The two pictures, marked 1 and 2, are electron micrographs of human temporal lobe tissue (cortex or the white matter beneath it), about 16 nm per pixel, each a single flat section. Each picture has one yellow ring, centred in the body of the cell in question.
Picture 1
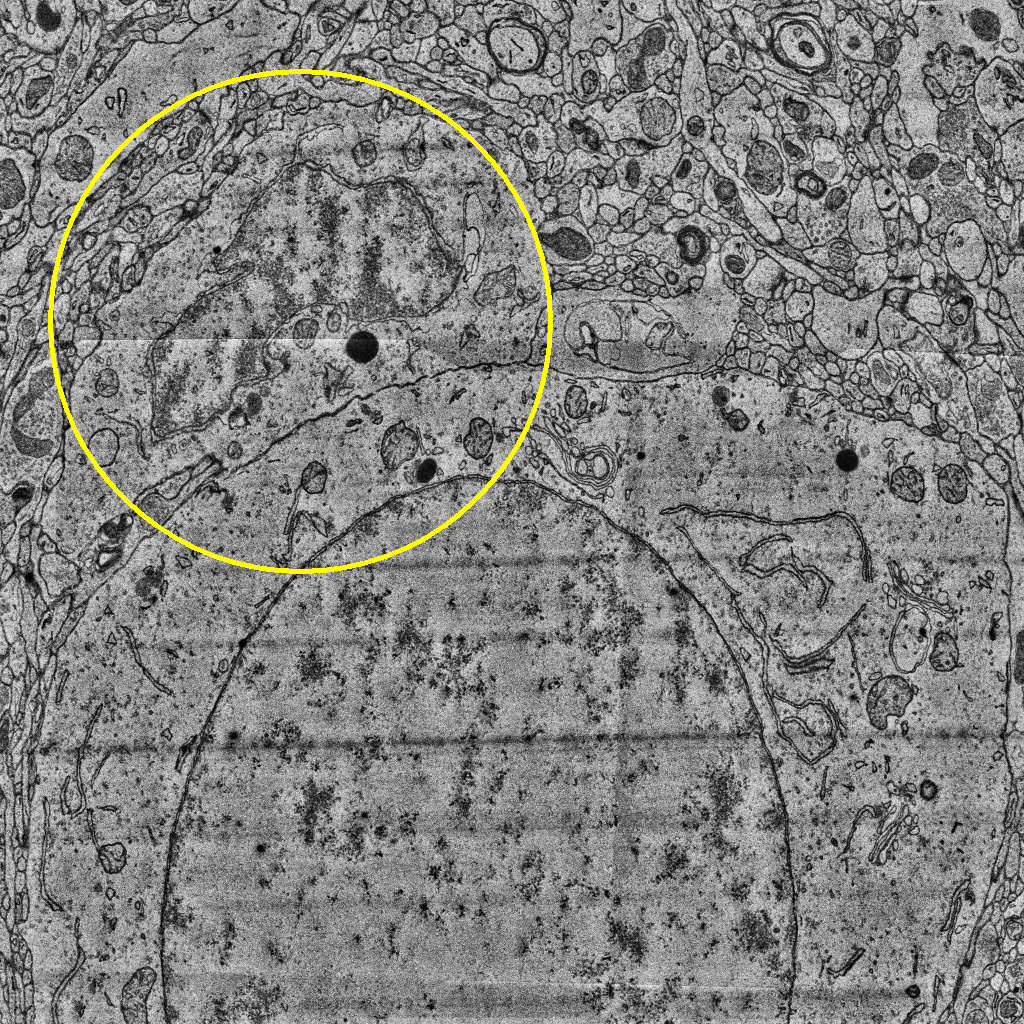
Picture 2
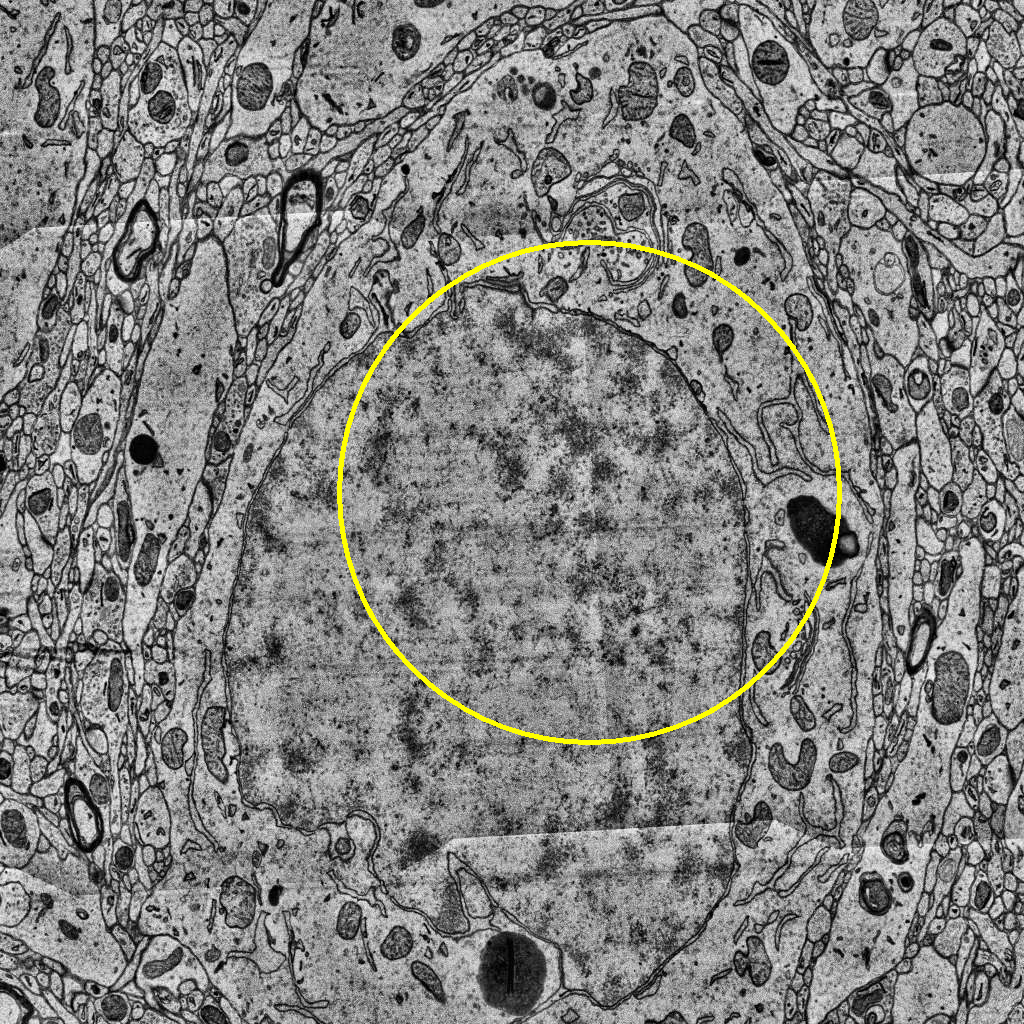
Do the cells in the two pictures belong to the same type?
Yes; the cells in both pictures are interneurons.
